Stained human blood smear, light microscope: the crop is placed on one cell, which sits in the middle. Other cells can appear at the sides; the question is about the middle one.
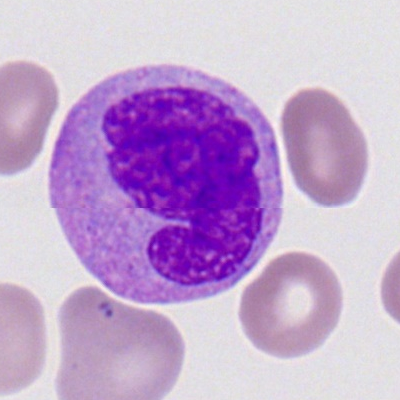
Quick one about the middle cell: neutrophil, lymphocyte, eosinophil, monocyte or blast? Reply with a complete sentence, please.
The central element of this crop is a cell, namely a monocyte.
